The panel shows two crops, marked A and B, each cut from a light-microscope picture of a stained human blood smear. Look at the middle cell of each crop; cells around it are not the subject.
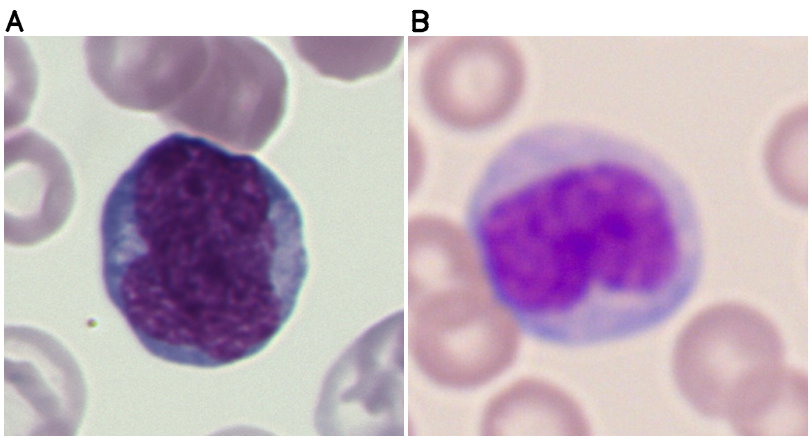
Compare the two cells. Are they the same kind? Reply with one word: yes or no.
yes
